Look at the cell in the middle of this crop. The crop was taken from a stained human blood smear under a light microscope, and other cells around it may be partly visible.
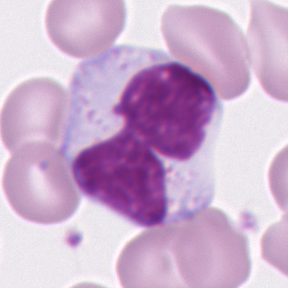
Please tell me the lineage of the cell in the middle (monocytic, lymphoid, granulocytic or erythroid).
lymphoid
